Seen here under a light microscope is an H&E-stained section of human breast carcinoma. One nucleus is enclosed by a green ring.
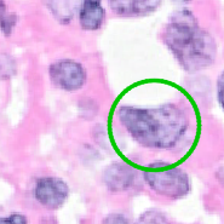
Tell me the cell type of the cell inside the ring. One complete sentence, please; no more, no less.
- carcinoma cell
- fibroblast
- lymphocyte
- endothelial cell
Considered by cell type, the cell inside the ring is a carcinoma cell.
